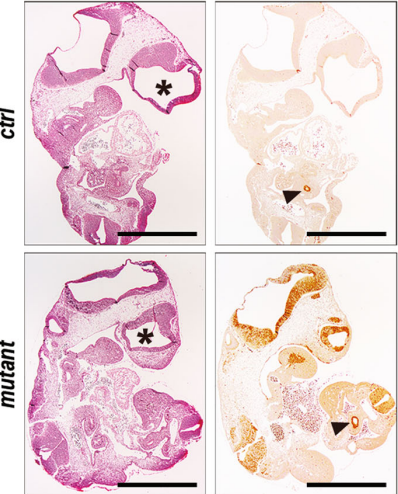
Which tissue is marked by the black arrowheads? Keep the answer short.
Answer: Gut endoderm.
